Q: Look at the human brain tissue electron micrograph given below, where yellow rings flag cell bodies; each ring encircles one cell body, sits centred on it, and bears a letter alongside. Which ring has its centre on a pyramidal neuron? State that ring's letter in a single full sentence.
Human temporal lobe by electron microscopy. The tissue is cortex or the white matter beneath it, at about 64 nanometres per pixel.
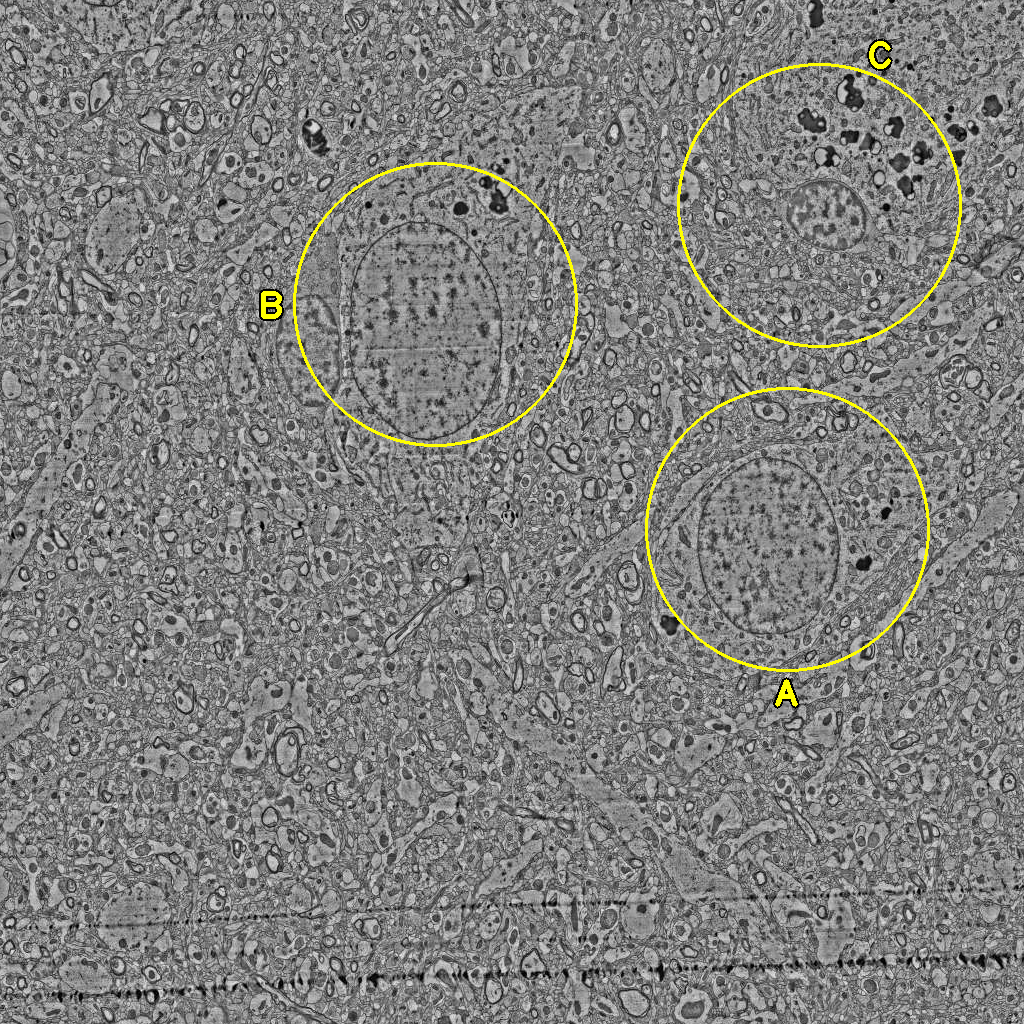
In the picture, the cell of that kind sits at the centre of ring B.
